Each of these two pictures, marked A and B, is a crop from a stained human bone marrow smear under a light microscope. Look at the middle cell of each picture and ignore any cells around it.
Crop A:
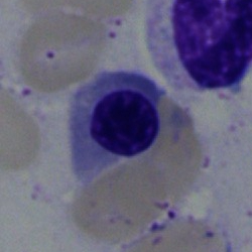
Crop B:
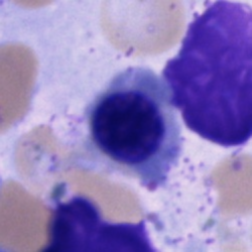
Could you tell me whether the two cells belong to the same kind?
yes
